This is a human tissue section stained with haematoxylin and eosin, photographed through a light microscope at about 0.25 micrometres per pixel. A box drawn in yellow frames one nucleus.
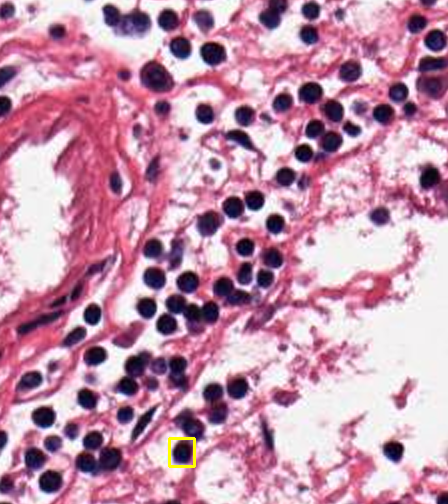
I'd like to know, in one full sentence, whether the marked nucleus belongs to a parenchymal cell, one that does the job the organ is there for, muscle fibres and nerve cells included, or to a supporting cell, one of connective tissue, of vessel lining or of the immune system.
It is to a supporting cell that the marked nucleus is assigned.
